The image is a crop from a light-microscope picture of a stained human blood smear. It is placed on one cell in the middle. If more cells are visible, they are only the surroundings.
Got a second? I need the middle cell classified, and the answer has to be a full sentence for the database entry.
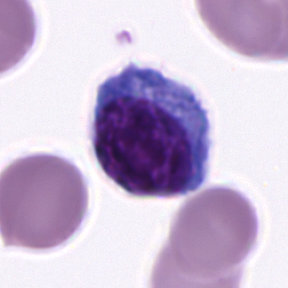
The cell in the middle of the field of view is a plasma cell.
